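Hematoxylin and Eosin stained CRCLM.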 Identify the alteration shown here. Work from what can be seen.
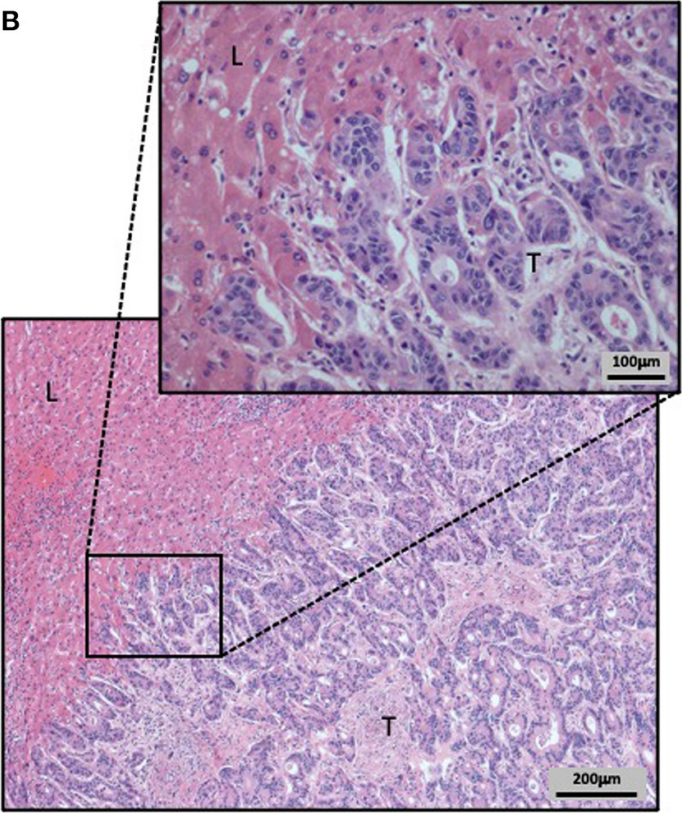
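The tumor cells invade the liver cell plates. Nests and trabeculae of crowded, dark-nucleated tumor cells lie directly against pink hepatocytes. No fibrous band separates the tumor from the liver. At the border, tumor cell groups extend between the hepatocyte plates.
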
